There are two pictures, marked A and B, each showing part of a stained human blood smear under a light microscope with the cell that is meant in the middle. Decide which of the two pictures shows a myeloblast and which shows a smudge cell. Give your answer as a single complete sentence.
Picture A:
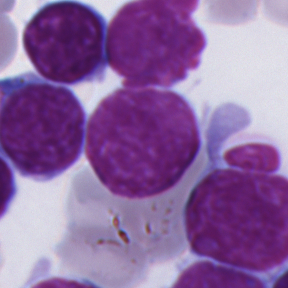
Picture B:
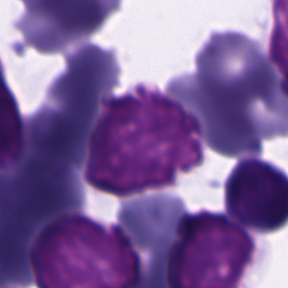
Picture B shows a smudge cell, while picture A shows a myeloblast.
